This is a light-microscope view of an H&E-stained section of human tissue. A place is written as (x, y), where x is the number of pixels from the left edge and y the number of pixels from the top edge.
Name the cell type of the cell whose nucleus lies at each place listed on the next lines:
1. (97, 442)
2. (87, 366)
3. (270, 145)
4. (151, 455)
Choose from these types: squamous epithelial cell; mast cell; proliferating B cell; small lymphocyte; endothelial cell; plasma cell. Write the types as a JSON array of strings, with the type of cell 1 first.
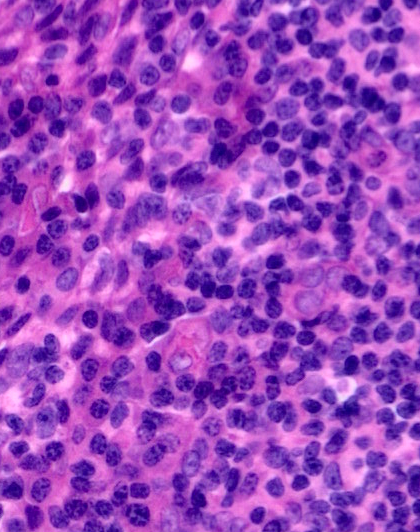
["plasma cell", "plasma cell", "small lymphocyte", "plasma cell"]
